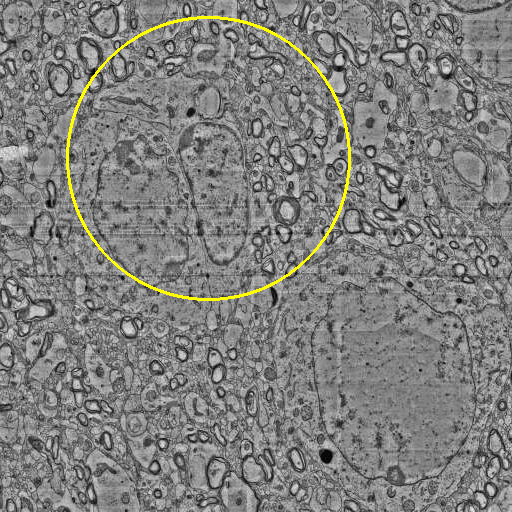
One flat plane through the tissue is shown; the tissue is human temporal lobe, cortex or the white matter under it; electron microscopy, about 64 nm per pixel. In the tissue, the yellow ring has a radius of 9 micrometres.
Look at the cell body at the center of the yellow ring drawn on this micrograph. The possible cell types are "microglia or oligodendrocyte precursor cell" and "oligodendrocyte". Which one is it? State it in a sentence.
The cell in the middle of the ring is a microglial cell or oligodendrocyte precursor cell.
